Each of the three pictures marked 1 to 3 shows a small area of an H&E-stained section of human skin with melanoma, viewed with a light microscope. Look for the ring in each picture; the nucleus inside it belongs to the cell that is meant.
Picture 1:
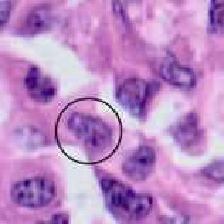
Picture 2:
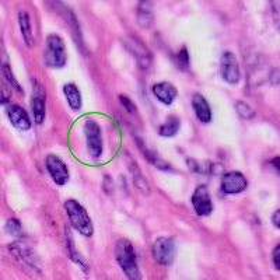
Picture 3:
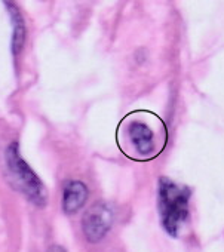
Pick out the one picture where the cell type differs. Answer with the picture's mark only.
1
